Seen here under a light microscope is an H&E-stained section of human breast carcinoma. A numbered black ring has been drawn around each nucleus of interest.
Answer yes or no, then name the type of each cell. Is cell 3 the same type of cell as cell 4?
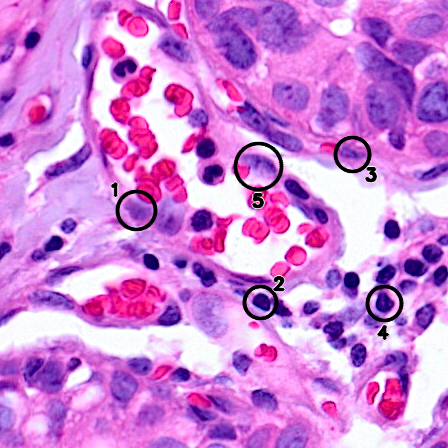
No, hold on, cell 3 is an endothelial cell and cell 4 is a lymphocyte.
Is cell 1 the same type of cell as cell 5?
Yes, cells 1 and 5 both fall under endothelial cells.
